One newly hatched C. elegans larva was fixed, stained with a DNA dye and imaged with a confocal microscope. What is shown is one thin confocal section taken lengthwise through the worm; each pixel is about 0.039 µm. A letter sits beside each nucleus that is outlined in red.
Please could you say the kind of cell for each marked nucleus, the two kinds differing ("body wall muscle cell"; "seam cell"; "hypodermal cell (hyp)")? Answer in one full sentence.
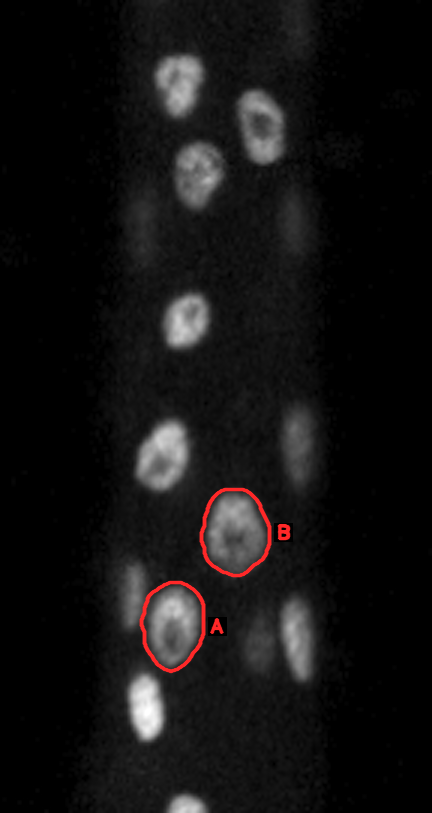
The nucleus A is that of a seam cell, while B is that of a hypodermal cell (hyp).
